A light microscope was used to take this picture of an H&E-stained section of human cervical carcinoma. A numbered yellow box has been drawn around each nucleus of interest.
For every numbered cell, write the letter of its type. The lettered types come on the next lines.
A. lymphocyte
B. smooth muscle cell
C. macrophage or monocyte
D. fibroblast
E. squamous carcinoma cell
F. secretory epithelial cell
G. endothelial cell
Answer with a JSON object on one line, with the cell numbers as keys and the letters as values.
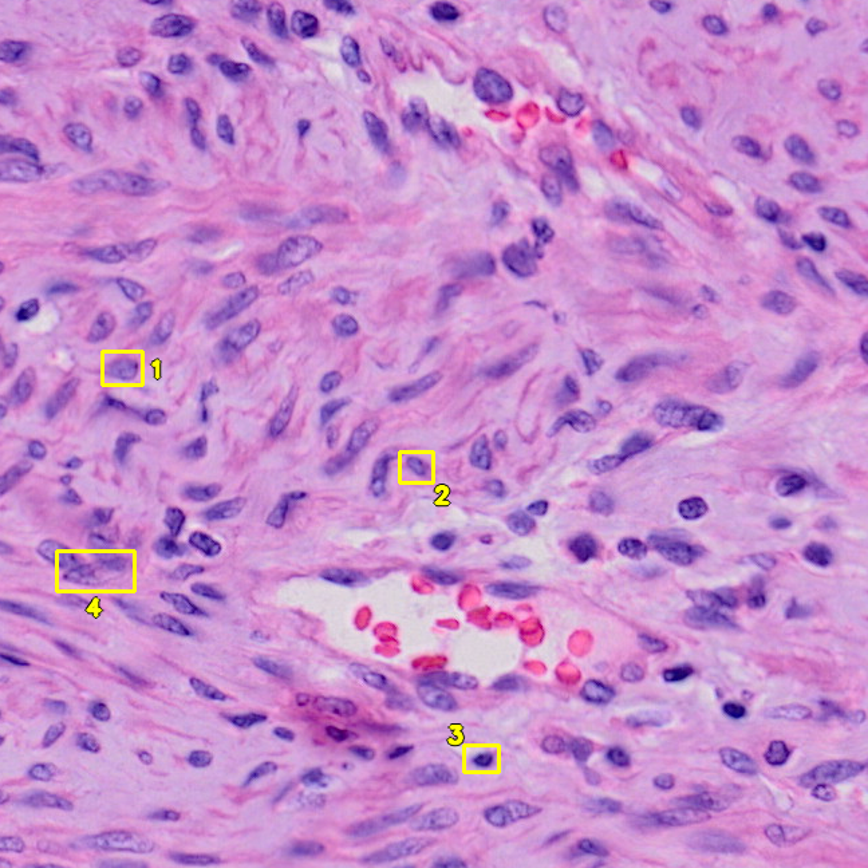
{"1": "B", "2": "B", "3": "A", "4": "B"}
